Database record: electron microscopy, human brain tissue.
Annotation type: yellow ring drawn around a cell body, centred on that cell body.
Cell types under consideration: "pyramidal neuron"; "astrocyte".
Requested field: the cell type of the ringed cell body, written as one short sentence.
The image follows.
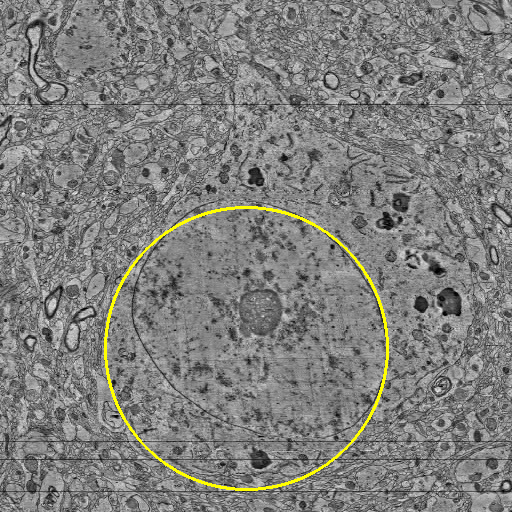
The ringed cell body represents a pyramidal neuron.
